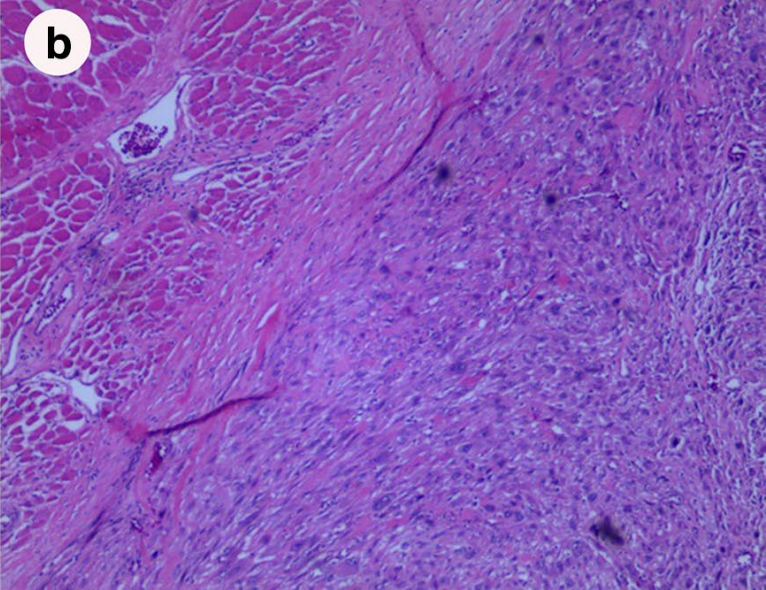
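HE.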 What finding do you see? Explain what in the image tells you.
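A dense, cellular mass of purple tumor cells occupies the right and lower part of the field.
Conclusion: tumor cells infiltrating in the striated muscle tissue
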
